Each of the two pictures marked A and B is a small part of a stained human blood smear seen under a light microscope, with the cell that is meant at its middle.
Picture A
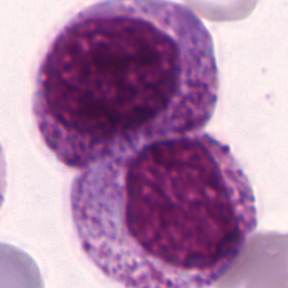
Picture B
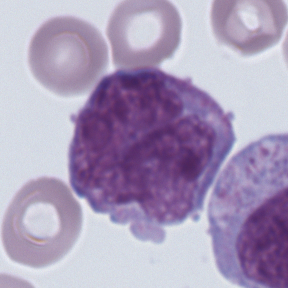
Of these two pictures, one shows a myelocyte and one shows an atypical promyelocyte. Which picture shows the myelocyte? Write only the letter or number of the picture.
A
